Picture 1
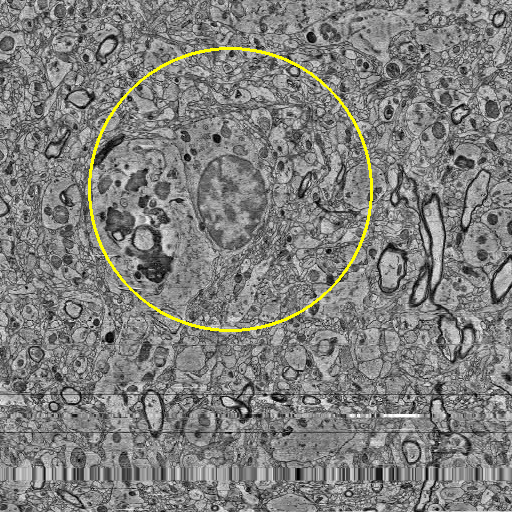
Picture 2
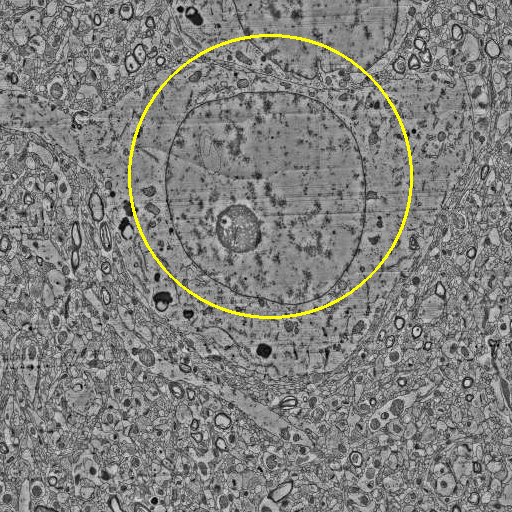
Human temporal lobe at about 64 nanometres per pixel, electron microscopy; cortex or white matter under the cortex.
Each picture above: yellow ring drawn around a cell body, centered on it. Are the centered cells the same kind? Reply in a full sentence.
No, the two cells are two kinds of cell.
